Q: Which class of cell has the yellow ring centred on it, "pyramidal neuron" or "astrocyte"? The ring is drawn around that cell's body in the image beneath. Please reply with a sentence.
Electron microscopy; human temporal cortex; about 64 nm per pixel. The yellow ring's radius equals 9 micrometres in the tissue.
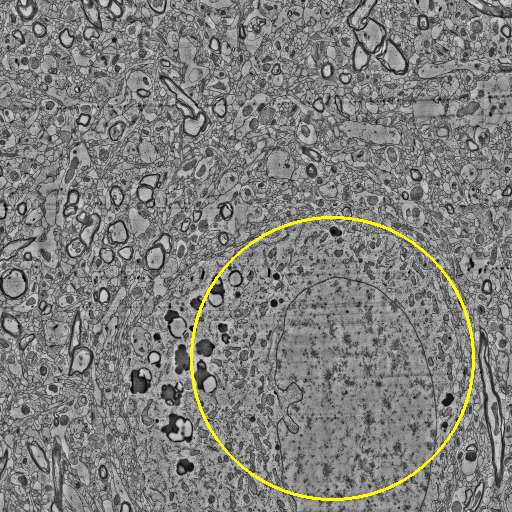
It is centred on a pyramidal neuron.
